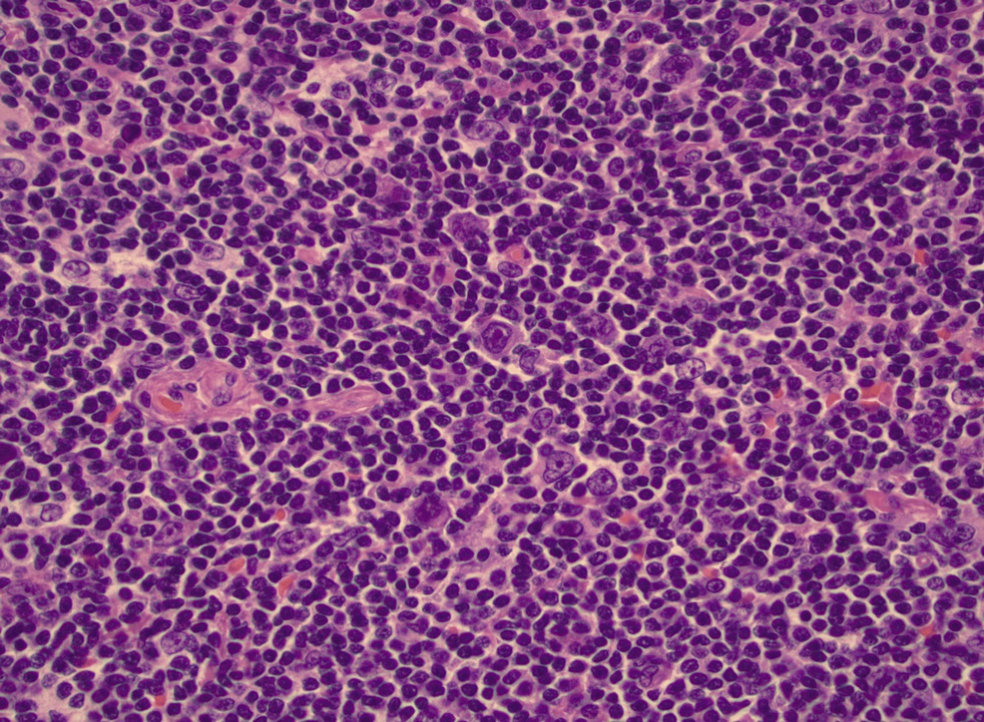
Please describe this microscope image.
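This high-power view is packed with a sheet of small lymphocytes. They have round, dark-purple nuclei and hardly any cytoplasm. Scattered among them are a few much larger cells, whose pale, open nuclei are folded or lobulated and carry small nucleoli, while thin-walled small vessels holding pink-red blood cells run through the field.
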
